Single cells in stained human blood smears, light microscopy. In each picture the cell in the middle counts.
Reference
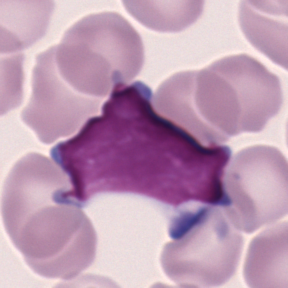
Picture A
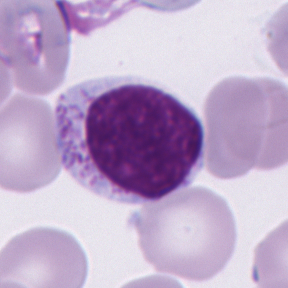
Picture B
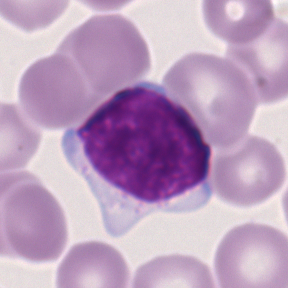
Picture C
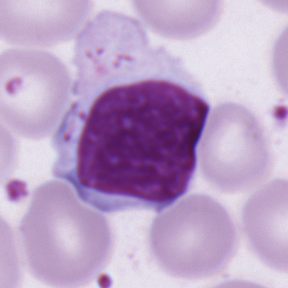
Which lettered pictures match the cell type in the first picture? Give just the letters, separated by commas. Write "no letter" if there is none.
no letter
